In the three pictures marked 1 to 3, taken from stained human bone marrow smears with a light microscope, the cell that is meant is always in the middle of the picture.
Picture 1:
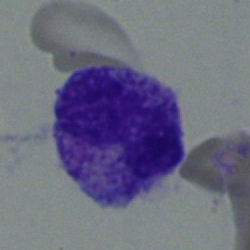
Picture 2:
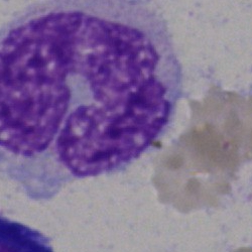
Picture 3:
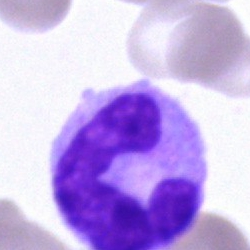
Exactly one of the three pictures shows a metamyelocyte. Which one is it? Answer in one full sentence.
The cell in picture 1 is the metamyelocyte.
